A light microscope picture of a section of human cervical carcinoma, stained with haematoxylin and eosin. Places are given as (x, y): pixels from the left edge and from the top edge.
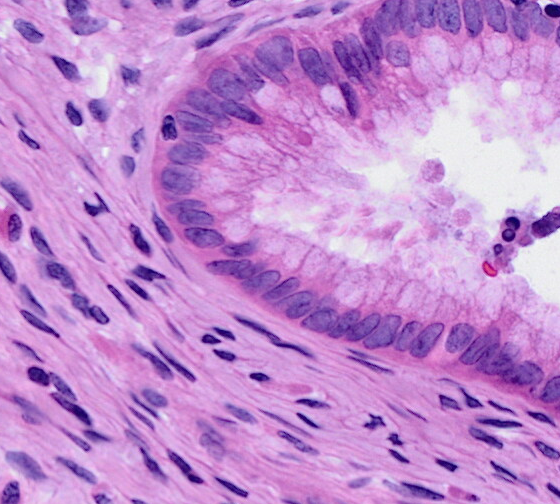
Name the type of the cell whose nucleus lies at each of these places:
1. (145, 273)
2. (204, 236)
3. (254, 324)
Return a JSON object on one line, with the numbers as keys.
{"1": "fibroblast", "2": "secretory epithelial cell", "3": "fibroblast"}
